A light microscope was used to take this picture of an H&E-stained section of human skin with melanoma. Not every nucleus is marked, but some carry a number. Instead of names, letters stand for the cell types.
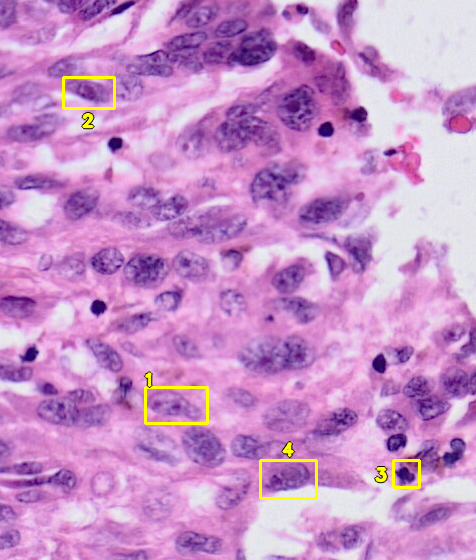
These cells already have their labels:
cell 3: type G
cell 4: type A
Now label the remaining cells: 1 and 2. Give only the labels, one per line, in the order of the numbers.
type A
type A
